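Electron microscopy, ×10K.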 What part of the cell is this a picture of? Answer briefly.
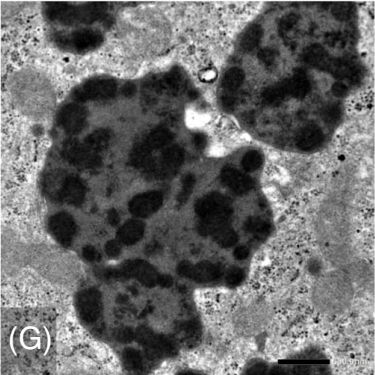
large lysosomes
